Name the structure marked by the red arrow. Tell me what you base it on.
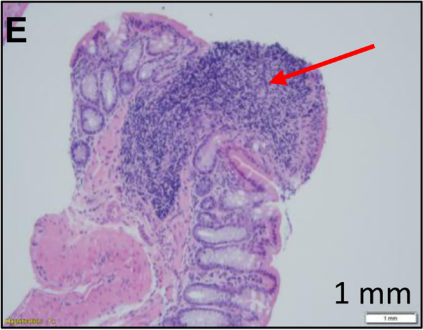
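A dense, rounded cluster of small cells with dark round nuclei. The cluster sits beside colonic crypts. On this evidence: lymphoid aggregates.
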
